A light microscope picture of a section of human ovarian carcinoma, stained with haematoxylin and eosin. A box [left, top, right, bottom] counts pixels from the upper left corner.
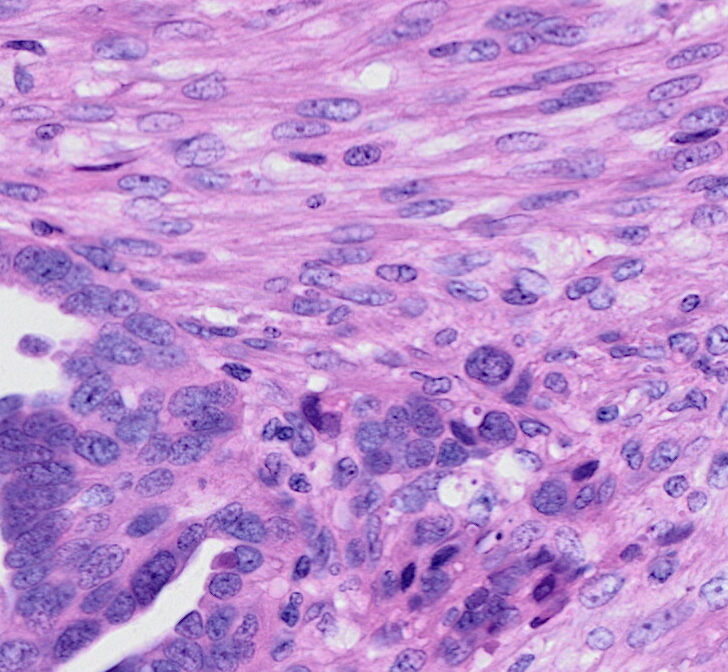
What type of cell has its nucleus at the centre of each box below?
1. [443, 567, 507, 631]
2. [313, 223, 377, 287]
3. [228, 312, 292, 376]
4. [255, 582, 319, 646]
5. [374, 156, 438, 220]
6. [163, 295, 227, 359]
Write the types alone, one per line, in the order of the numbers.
carcinoma cell
fibroblast
fibroblast
lymphocyte
fibroblast
fibroblast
